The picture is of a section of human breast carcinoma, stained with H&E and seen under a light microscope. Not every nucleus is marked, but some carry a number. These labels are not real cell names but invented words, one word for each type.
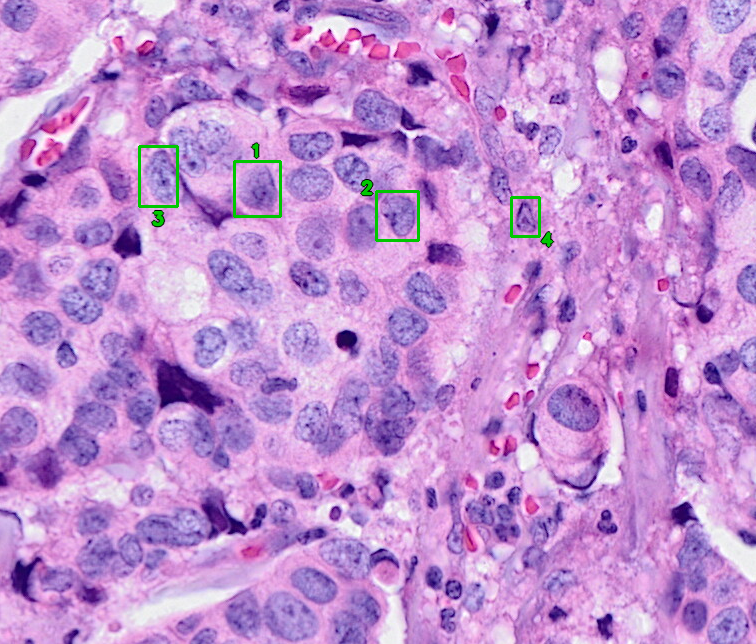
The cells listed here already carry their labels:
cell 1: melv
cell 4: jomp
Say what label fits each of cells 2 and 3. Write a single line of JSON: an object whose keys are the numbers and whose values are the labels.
{"2": "melv", "3": "melv"}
